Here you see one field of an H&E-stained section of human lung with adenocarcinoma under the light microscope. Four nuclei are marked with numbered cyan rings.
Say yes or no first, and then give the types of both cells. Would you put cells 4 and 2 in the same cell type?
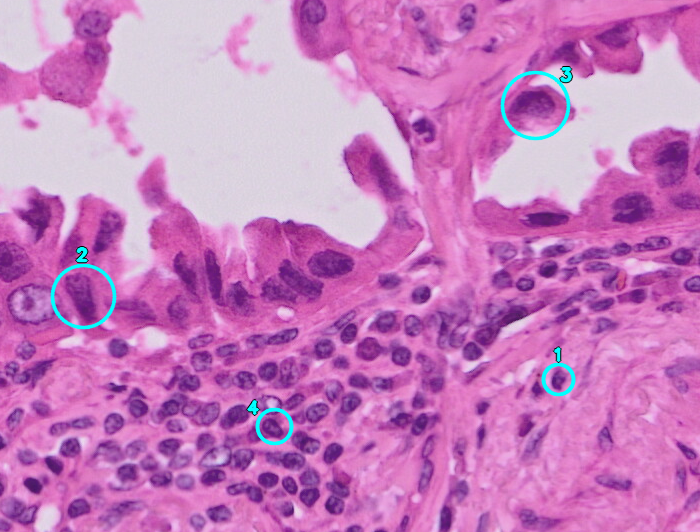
No, cell 4 is a plasma cell, but cell 2 is a carcinoma cell.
